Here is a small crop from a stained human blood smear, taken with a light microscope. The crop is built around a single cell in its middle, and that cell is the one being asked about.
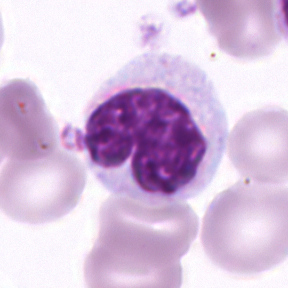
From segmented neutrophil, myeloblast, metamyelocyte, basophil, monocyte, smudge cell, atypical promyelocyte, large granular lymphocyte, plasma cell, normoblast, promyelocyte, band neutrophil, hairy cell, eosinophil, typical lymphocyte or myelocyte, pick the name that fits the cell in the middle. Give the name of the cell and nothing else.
band neutrophil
